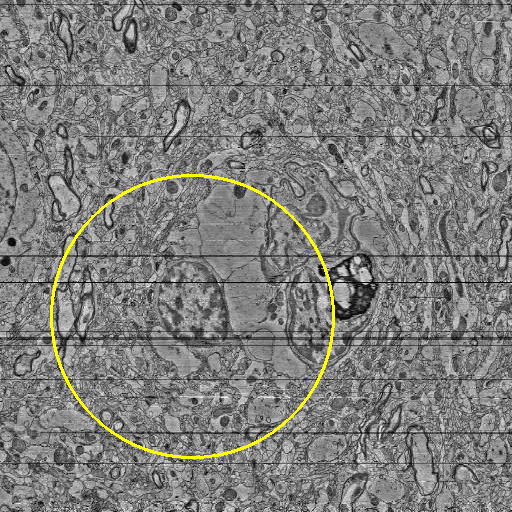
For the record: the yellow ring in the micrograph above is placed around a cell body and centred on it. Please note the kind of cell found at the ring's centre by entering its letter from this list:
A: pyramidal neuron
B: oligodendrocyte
B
